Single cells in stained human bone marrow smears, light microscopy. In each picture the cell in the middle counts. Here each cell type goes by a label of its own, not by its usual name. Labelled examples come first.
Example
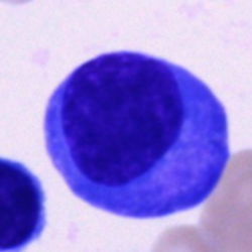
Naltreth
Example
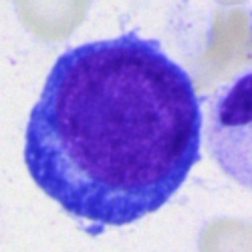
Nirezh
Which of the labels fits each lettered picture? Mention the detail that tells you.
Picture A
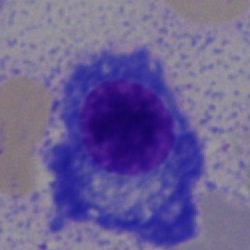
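Naltreth. Evidence: The cytoplasm is abundant and deep blue.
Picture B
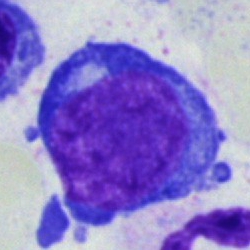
Nirezh. Evidence: The chromatin looks finely granular rather than coarsely clumped.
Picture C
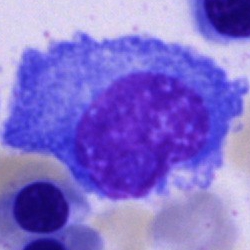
Naltreth. Evidence: The cytoplasm is abundant and stains blue.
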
